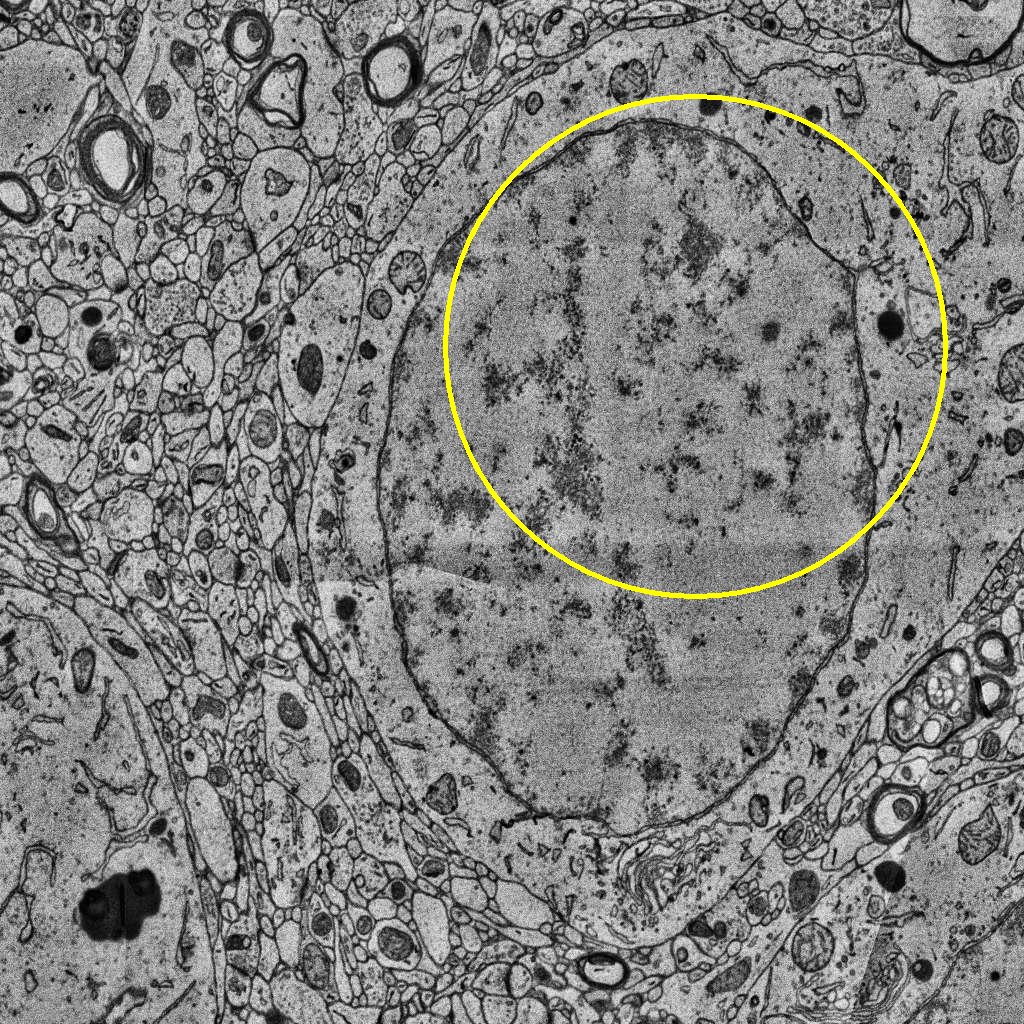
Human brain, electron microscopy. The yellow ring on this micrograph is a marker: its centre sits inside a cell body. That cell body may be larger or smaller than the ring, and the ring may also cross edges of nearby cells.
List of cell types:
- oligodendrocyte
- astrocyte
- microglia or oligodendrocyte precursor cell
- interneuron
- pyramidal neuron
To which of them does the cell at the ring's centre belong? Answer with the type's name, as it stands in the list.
pyramidal neuron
